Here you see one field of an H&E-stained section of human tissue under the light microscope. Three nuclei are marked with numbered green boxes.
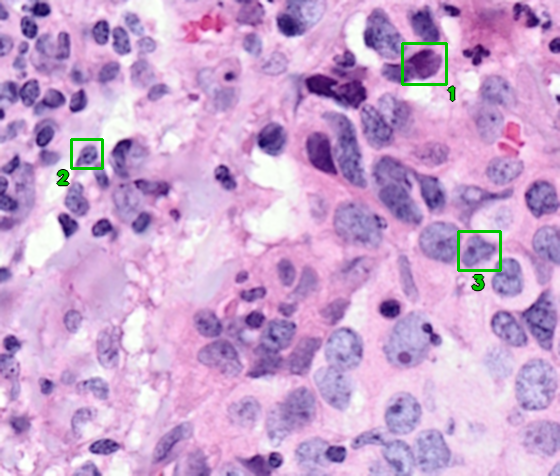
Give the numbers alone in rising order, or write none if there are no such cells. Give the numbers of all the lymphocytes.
2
